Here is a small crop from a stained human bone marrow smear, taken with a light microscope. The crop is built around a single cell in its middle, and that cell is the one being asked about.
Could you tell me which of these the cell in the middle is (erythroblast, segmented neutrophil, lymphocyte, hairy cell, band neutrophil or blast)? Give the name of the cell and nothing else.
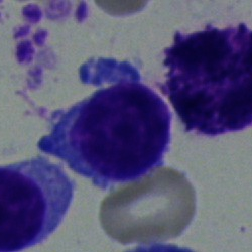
lymphocyte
